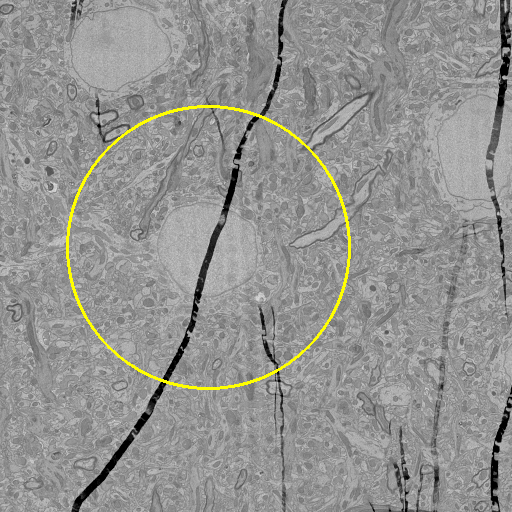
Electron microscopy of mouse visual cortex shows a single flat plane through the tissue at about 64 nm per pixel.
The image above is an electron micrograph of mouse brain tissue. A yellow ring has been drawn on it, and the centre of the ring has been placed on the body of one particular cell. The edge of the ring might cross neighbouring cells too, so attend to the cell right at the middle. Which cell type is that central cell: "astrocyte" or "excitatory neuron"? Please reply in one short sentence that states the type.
The central cell in the ring is an astrocyte.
